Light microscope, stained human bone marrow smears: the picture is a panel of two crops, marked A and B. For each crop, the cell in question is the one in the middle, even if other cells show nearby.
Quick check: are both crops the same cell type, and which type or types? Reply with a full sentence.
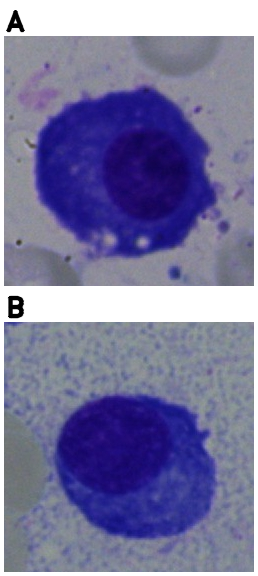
Yes, plasma cells are seen in both crops.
